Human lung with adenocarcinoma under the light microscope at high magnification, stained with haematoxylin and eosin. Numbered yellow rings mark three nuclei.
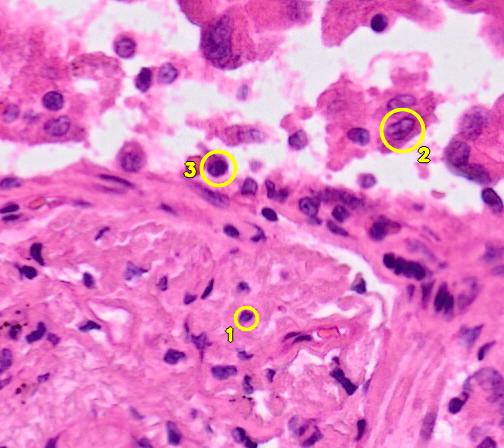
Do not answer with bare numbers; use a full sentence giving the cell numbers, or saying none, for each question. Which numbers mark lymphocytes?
Just the cell marked 3 is a lymphocyte; none of the other marked cells is.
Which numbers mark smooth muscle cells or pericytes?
Nothing but cell 1 is a smooth muscle cell or pericyte among the numbered ones.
